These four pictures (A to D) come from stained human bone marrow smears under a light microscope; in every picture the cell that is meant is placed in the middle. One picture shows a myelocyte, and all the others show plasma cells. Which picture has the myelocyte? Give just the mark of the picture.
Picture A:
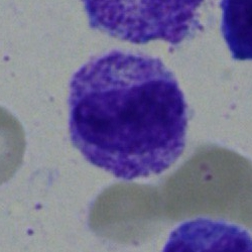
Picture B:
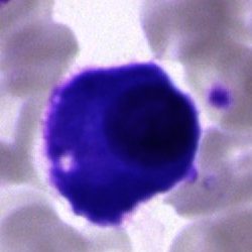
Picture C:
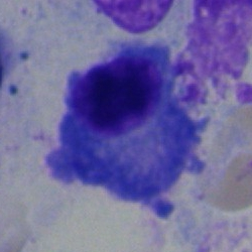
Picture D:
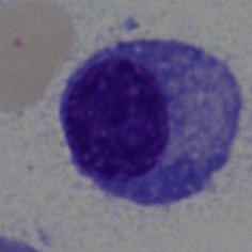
A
